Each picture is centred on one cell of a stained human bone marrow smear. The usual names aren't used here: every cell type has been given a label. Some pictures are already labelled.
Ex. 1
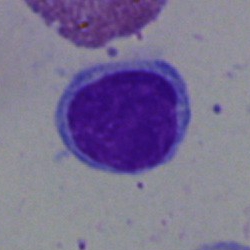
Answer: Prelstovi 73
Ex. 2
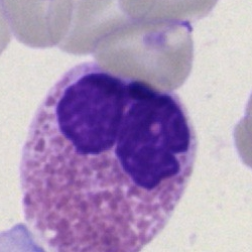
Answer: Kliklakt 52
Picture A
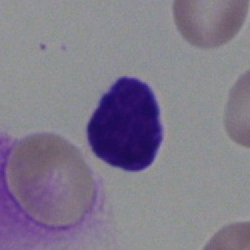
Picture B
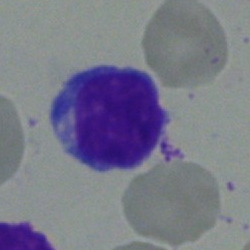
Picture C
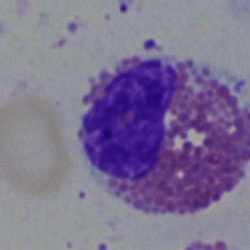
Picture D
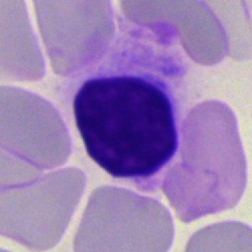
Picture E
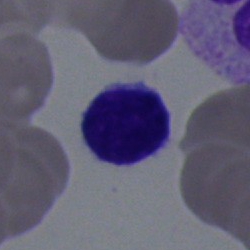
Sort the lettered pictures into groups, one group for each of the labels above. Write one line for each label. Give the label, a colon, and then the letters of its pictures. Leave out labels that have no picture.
Prelstovi 73: A, B, D, E
Kliklakt 52: C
